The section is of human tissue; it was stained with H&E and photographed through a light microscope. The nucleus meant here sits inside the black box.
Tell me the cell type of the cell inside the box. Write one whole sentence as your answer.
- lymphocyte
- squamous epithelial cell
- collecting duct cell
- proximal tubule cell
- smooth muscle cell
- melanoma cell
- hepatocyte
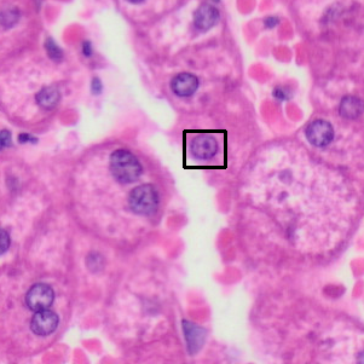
The cell meant here is a hepatocyte.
